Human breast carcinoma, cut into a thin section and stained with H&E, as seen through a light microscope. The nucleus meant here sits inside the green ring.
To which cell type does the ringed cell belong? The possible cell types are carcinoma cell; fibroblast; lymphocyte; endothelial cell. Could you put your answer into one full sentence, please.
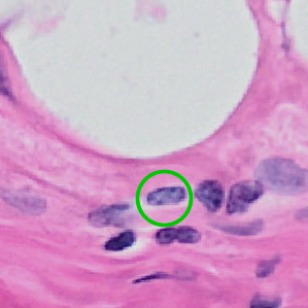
In the tissue at hand, the ringed cell is a lymphocyte.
